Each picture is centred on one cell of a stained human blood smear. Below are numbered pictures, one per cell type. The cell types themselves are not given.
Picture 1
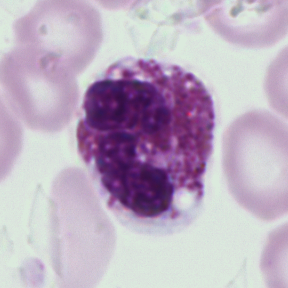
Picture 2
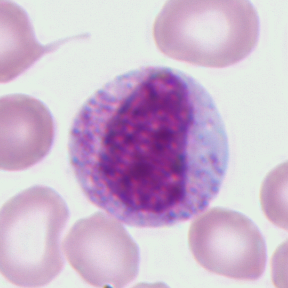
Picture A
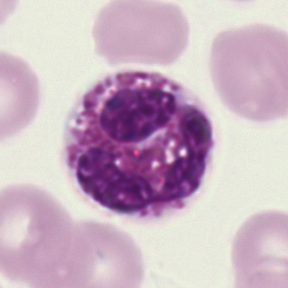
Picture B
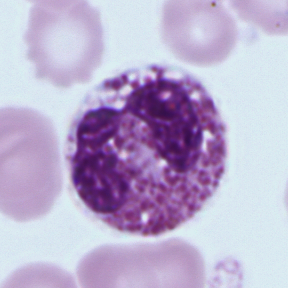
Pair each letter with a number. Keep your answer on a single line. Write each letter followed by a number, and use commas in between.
A 1, B 1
